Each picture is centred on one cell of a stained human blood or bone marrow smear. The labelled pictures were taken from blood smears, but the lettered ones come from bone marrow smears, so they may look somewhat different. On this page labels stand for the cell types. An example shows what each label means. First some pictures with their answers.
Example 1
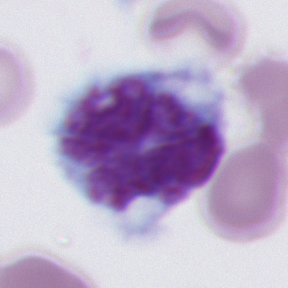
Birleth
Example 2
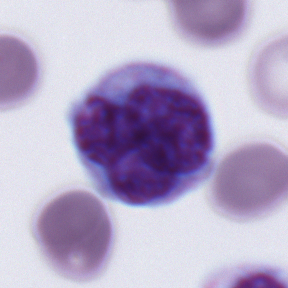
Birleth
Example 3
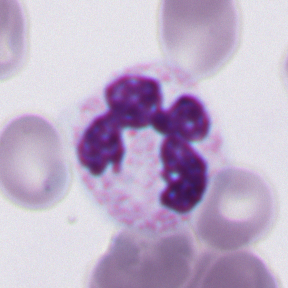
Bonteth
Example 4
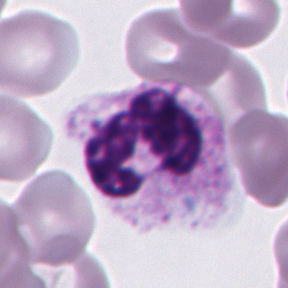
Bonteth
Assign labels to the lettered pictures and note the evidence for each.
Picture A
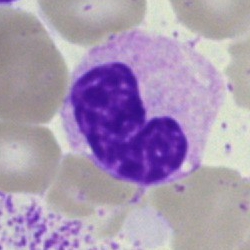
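Label: Bonteth. The cytoplasm is plentiful and is widest on the upper right side of the cell.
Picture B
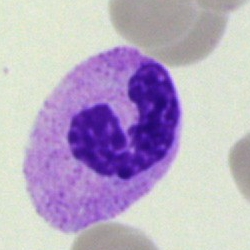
Label: Bonteth. The cytoplasm is abundant and pale lilac.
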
